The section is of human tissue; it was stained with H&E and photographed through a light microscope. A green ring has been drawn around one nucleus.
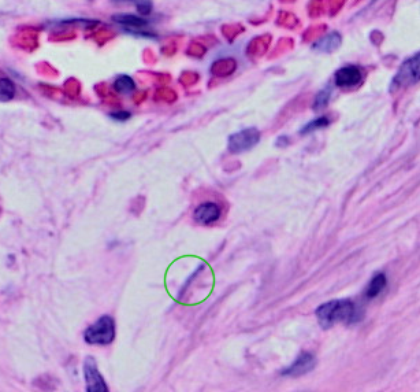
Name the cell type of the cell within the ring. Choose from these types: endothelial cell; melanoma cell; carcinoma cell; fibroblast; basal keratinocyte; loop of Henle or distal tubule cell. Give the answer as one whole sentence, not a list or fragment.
Histopathologically, the cell within the ring is a fibroblast.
